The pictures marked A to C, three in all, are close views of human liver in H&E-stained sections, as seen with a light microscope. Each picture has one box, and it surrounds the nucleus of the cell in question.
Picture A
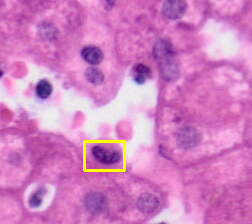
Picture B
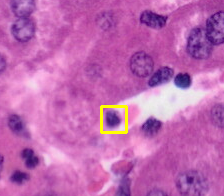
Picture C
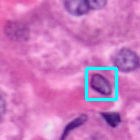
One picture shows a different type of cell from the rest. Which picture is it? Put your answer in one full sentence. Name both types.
All pictures except B show Kupffer cells; picture B shows a lymphocyte.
